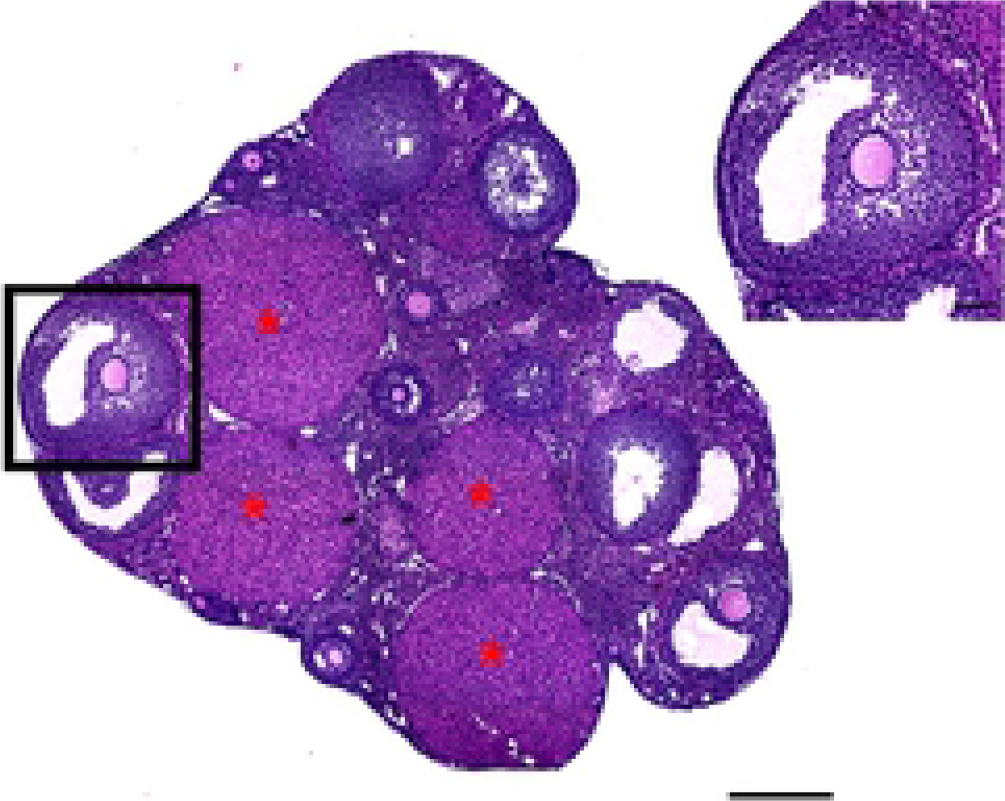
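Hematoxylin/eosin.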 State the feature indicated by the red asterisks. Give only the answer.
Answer: Corpus luteum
